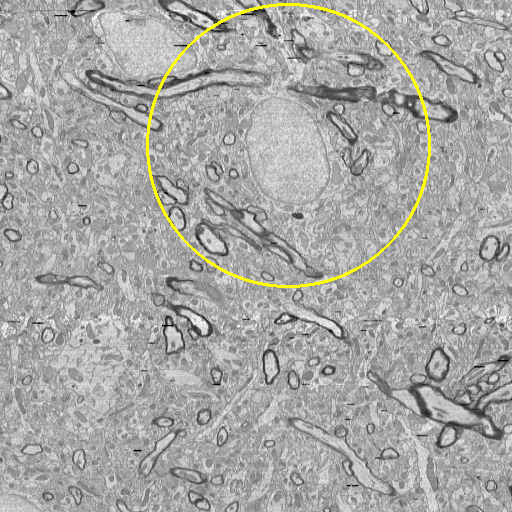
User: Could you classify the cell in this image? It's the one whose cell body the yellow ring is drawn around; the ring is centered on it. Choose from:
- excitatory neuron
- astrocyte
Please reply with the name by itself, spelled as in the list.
astrocyte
